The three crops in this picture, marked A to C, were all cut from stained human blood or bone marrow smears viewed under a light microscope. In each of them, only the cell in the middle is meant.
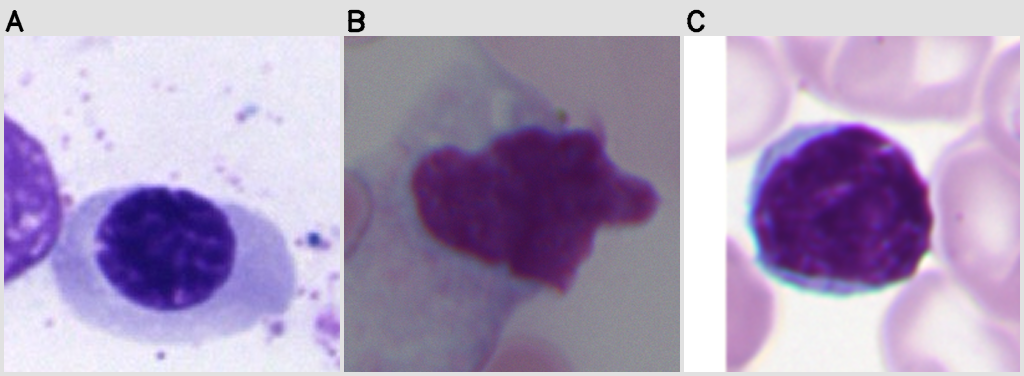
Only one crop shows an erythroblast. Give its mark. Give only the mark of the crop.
A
